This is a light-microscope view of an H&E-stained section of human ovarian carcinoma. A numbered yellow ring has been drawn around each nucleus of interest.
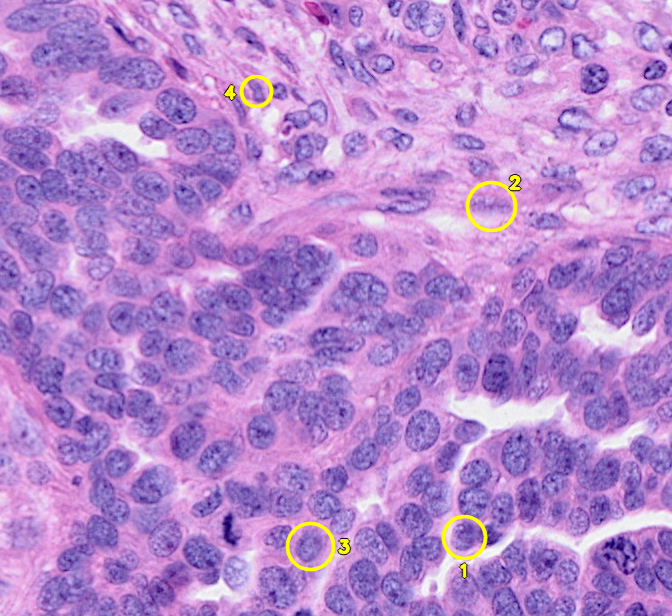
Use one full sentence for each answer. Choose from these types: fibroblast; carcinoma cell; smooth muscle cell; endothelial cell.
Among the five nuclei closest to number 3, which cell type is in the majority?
The majority of the five nuclei closest to number 3 belong to carcinoma cells.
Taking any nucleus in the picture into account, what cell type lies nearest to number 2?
Closest to number 2 lies the nucleus of a fibroblast.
